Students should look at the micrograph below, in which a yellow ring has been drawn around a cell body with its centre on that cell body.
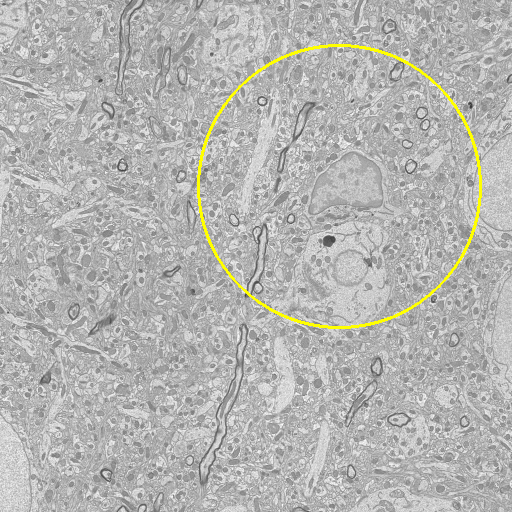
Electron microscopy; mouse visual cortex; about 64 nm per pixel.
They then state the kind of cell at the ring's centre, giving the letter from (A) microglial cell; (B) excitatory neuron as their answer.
A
